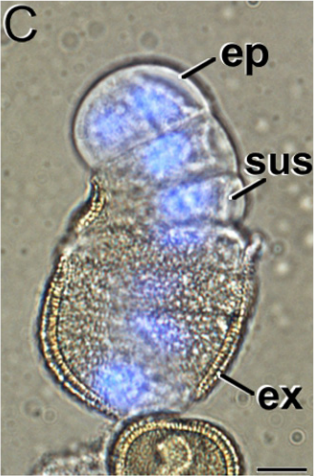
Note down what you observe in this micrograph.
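A young few-celled embryo emerging from the broken wall of a microspore. The lower part is still enclosed in the thick, finely patterned outer wall, which shows a ridged, beaded outline. Above it the cells protrude as a smooth, rounded, elongate body. The cells are arranged roughly in a row, separated by thin transverse walls, and each contains one blue-fluorescing nucleus. The cells at the free end are clear and rounded, forming a cap-like domain, while the cells nearer the wall have granular cytoplasm. Another patterned grain lies just below.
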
